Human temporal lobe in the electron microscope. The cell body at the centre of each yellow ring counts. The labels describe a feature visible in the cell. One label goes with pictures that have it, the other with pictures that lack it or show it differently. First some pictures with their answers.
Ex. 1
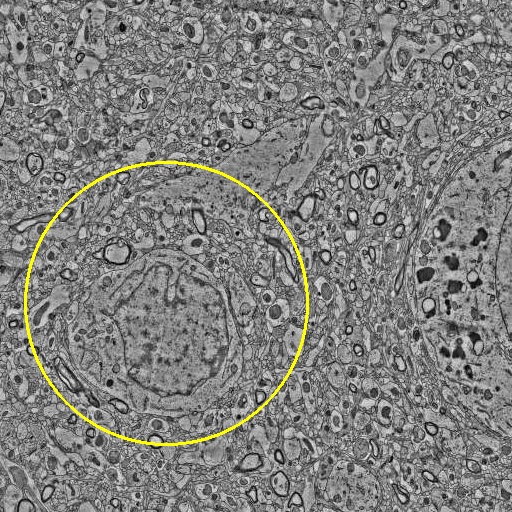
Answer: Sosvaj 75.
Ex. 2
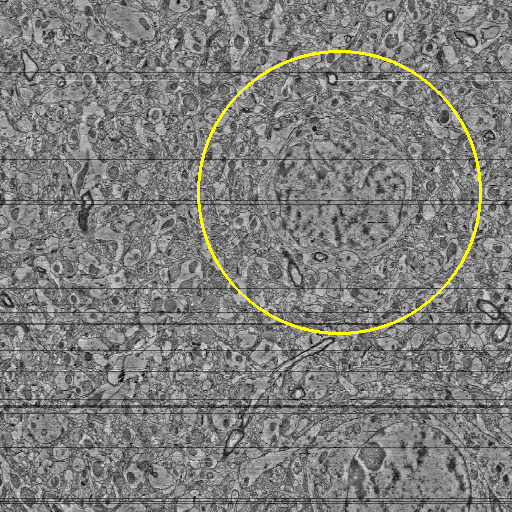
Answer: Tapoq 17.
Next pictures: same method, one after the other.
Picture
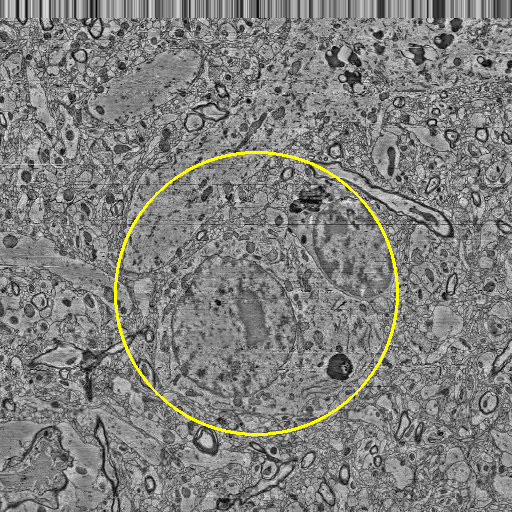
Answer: Tapoq 17.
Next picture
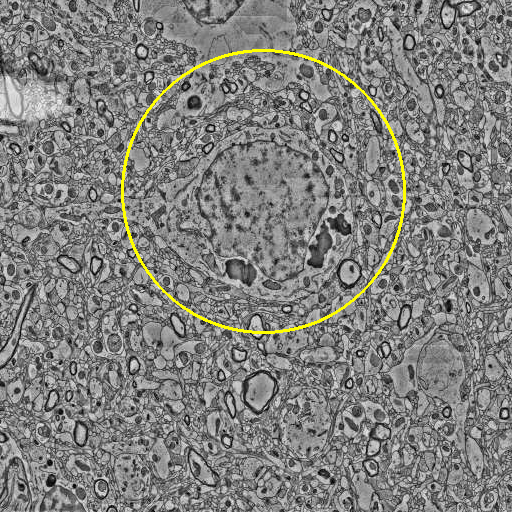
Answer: Tapoq 17.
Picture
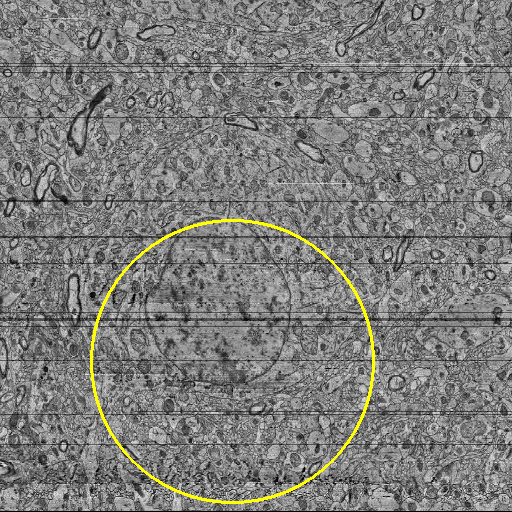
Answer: Tapoq 17.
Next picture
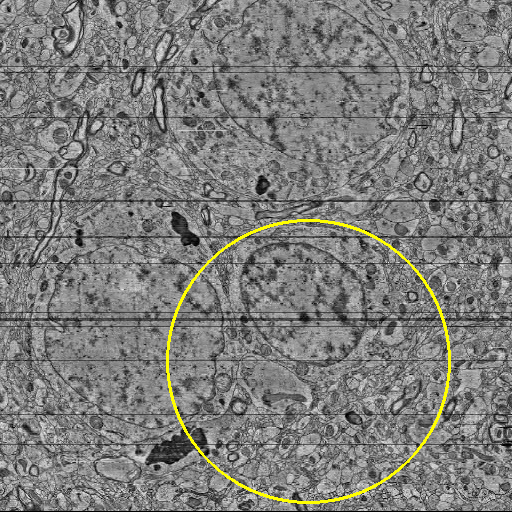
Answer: Tapoq 17.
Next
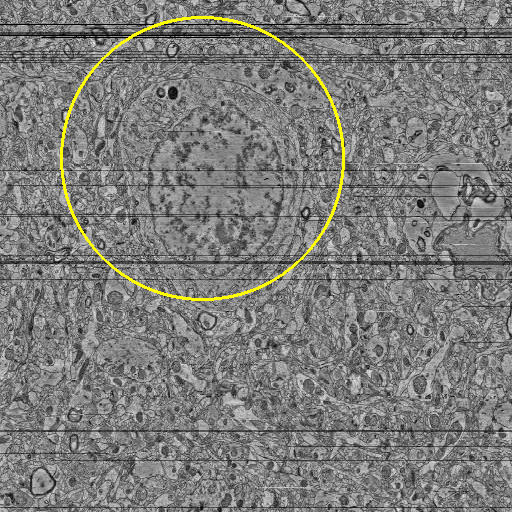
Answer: Tapoq 17.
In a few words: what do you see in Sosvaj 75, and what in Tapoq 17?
Sosvaj 75, deeply folded or indented nuclear envelopes; Tapoq 17, smooth nuclear envelopes without deep folds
